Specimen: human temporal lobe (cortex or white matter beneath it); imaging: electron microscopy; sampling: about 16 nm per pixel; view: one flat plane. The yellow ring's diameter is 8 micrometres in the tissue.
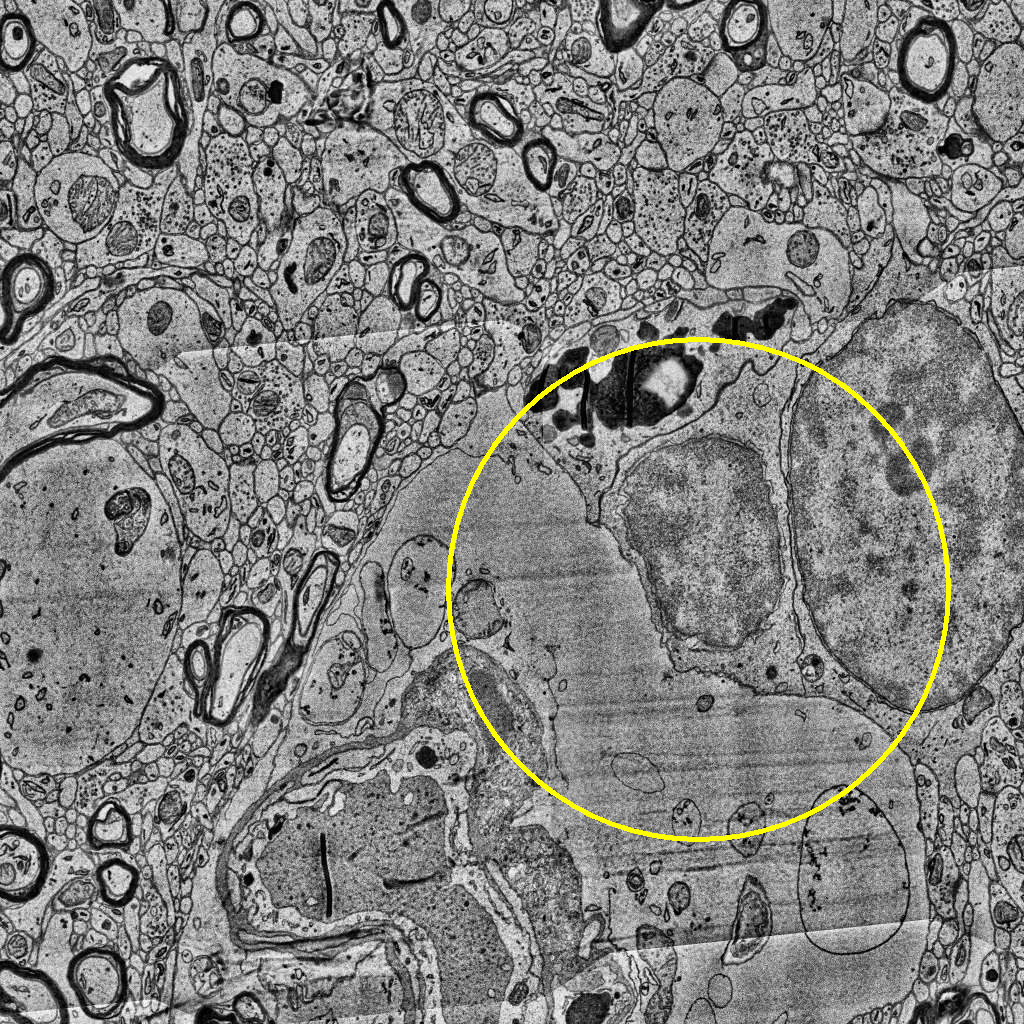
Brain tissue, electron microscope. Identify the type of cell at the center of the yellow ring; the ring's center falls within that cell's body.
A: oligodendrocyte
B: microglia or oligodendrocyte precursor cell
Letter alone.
A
